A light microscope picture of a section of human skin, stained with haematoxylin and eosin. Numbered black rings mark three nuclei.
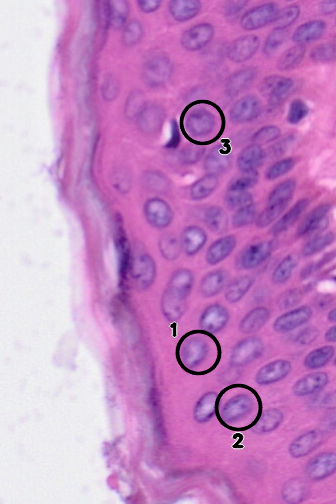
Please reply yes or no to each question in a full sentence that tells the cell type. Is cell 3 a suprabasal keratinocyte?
No, cell 3, which is a basal keratinocyte, is not a suprabasal keratinocyte.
